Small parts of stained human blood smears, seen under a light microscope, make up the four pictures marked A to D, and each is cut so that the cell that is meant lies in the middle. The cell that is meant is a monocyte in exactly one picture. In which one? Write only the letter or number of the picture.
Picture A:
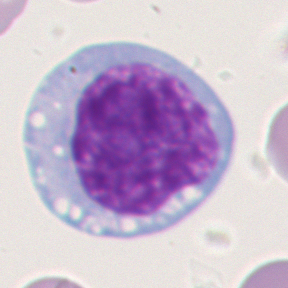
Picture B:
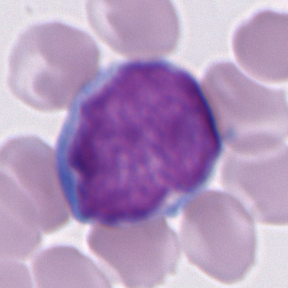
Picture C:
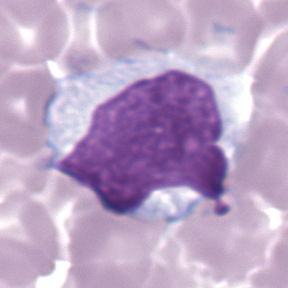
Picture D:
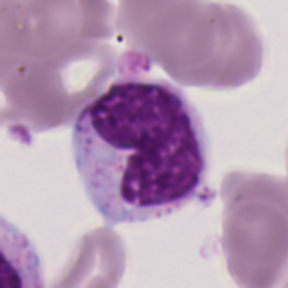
C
